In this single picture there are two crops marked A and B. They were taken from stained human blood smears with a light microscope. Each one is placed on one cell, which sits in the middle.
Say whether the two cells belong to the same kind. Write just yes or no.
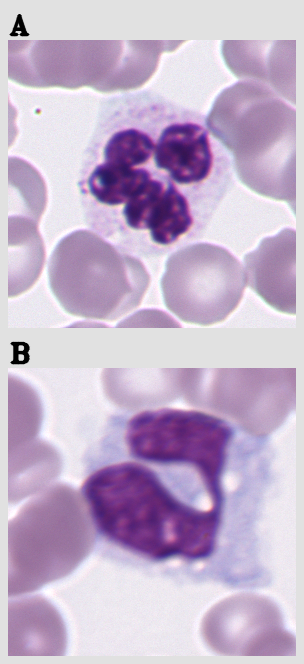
no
